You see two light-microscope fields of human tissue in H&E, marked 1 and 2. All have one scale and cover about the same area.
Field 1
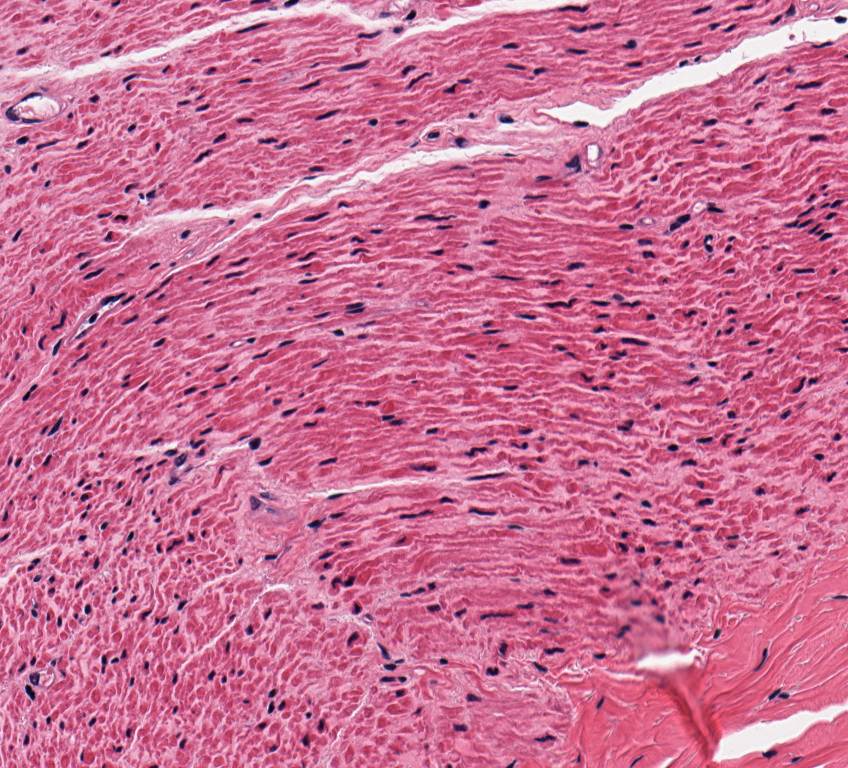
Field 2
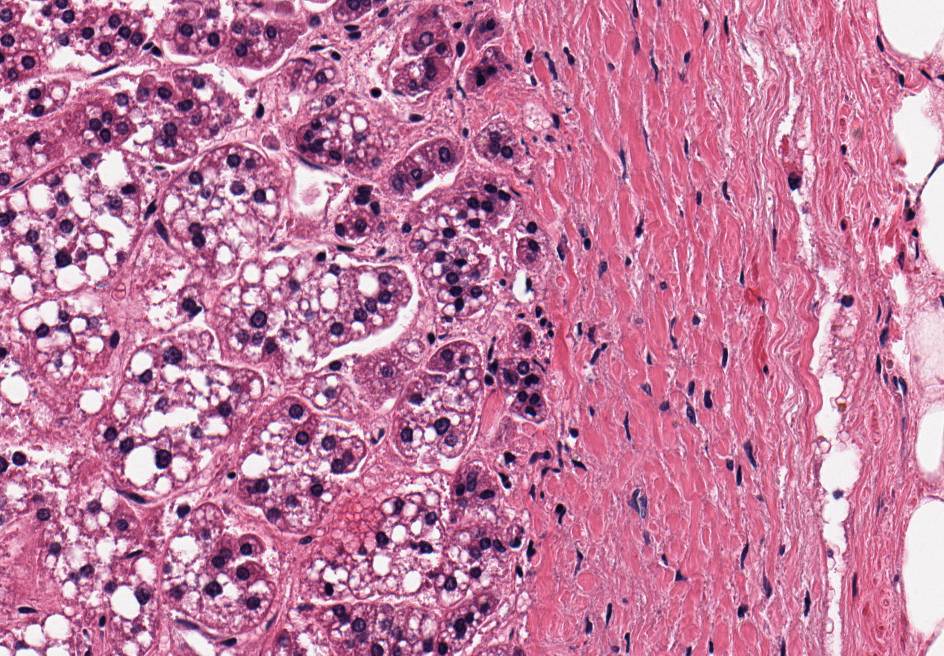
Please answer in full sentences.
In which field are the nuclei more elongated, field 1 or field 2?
The nuclei are more elongated in field 1.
